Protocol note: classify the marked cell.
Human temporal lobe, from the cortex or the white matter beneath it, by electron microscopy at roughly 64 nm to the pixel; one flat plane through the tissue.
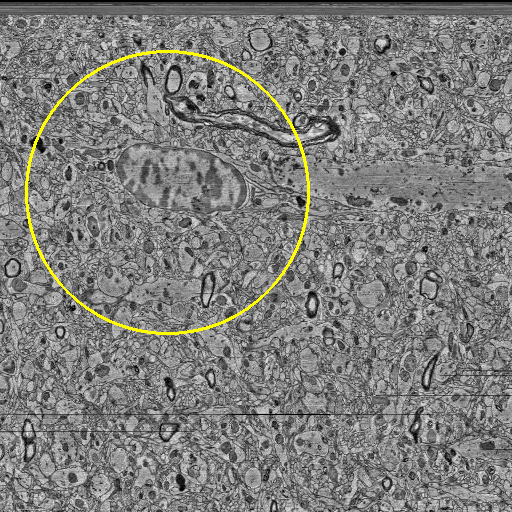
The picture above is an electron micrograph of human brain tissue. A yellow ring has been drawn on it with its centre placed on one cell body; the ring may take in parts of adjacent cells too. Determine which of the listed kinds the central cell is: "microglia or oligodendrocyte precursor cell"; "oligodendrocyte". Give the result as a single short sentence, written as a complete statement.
The central cell is a microglial cell or oligodendrocyte precursor cell.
